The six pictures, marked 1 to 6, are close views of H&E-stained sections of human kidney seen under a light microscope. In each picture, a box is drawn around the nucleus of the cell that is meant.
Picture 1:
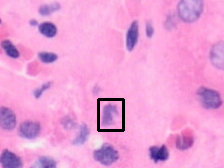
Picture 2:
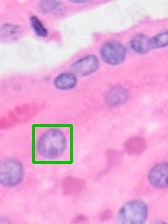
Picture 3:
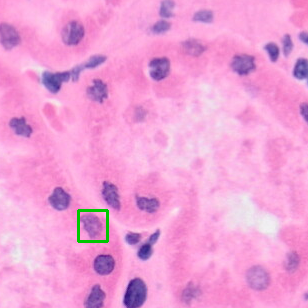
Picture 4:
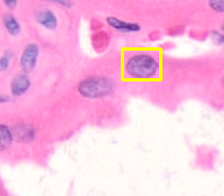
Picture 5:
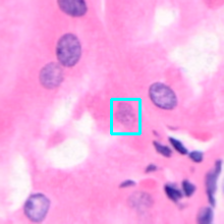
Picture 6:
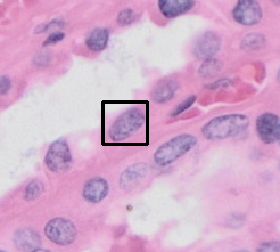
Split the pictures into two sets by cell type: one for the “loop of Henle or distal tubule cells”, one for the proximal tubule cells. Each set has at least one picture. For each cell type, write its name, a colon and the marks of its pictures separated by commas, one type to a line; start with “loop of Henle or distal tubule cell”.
loop of Henle or distal tubule cell: 1, 6
proximal tubule cell: 2, 3, 4, 5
